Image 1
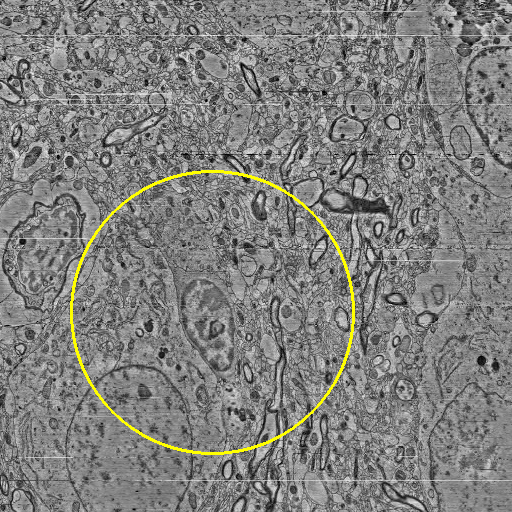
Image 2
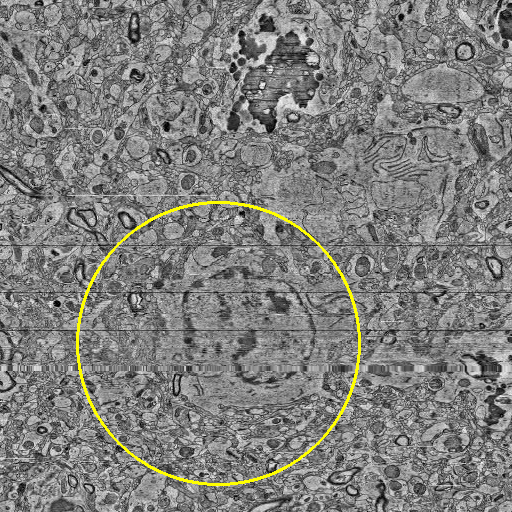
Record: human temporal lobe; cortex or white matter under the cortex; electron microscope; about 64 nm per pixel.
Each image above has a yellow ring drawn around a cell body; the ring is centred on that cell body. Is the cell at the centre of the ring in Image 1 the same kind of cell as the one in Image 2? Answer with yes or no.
no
